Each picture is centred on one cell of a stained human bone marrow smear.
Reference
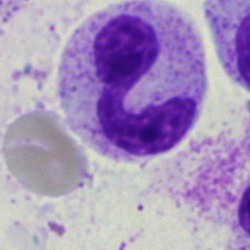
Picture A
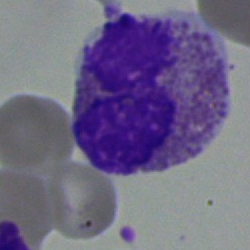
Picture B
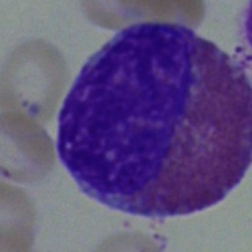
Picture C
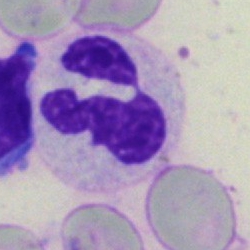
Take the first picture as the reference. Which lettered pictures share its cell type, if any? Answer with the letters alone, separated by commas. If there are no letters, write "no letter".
C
